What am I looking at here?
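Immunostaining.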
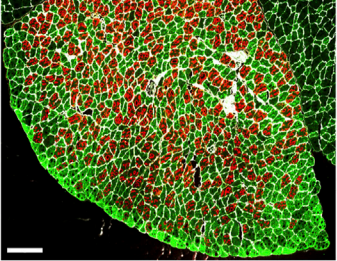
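This is a cross-section of skeletal muscle in which small polygonal myofibers are packed closely and outlined by white borders. Green-filled fibers predominate, forming a broad band at the periphery, while red-filled fibers are scattered mostly through the interior.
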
